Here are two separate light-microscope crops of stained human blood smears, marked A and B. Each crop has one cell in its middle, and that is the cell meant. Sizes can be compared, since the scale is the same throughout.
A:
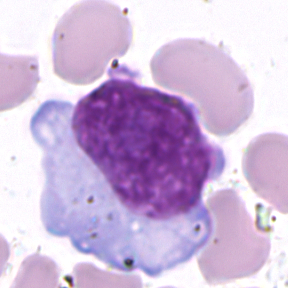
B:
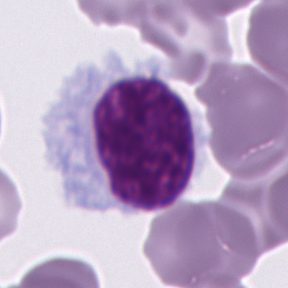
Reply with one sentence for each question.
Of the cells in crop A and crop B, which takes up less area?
Crop B holds the smaller cell, since the cell in crop A covers about 1.5 times as much area.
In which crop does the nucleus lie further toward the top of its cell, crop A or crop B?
It is the nucleus in crop A that lies further toward the top of its cell.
